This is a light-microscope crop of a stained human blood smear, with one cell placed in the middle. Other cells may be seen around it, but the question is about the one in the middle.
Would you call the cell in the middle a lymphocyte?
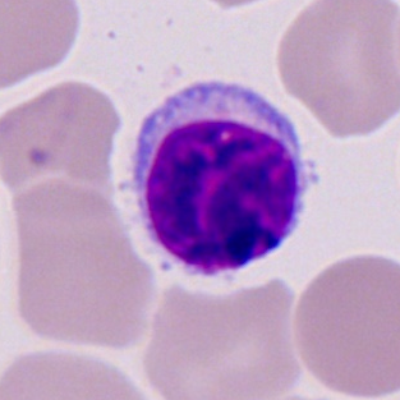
yes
